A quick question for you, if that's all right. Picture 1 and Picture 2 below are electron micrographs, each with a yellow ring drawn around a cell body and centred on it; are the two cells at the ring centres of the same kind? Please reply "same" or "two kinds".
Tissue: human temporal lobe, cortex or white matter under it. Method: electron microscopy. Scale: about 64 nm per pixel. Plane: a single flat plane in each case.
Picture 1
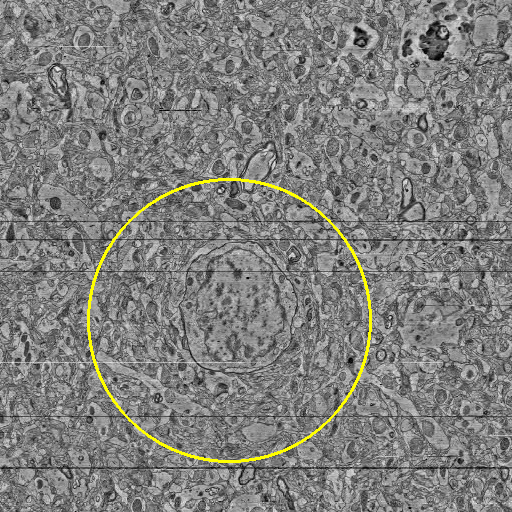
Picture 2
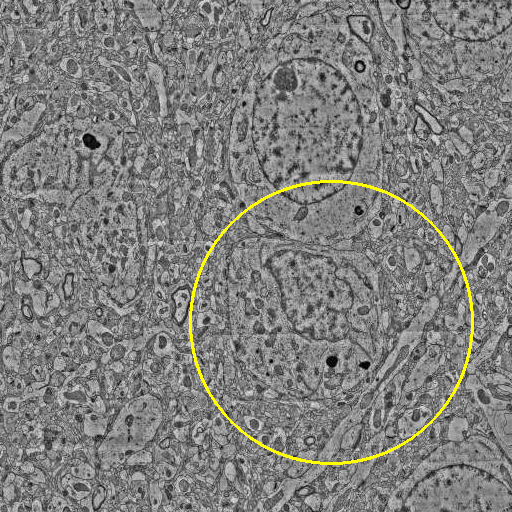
same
